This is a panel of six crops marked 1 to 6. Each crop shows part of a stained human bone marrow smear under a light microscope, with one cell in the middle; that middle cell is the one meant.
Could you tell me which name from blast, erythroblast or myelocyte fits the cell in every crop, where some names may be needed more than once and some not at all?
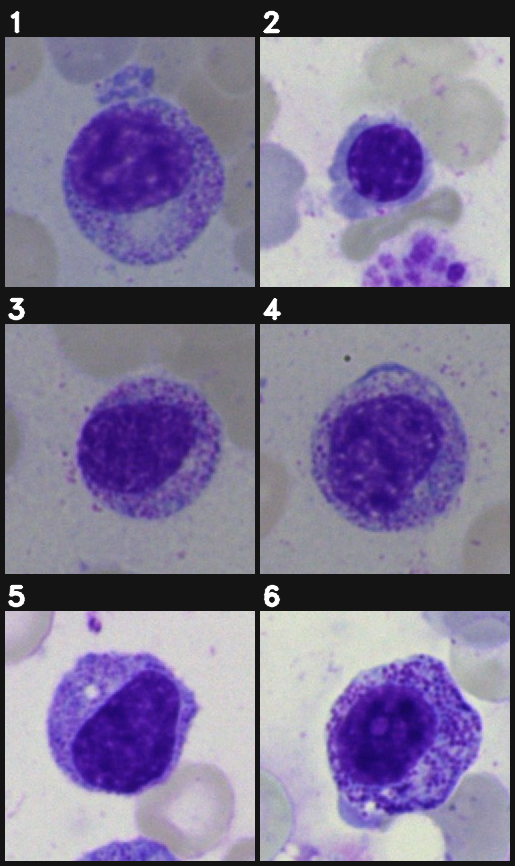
1: myelocyte
2: erythroblast
3: myelocyte
4: myelocyte
5: myelocyte
6: myelocyte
